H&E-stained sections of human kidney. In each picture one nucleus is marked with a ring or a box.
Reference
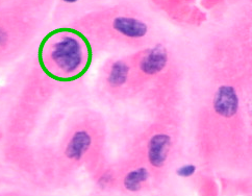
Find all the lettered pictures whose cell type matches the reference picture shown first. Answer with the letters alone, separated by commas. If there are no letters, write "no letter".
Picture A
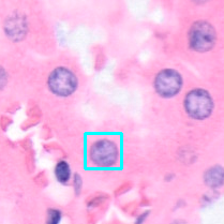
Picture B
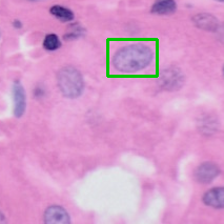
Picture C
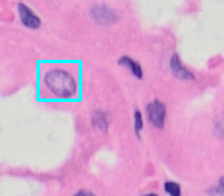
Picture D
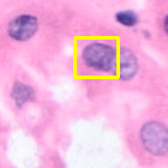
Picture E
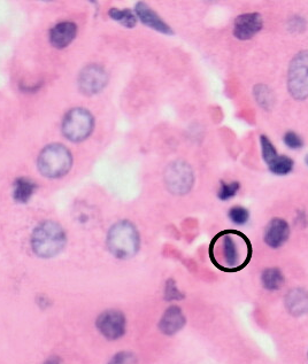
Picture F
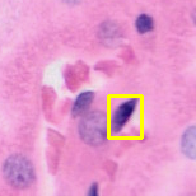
A, B, C, D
